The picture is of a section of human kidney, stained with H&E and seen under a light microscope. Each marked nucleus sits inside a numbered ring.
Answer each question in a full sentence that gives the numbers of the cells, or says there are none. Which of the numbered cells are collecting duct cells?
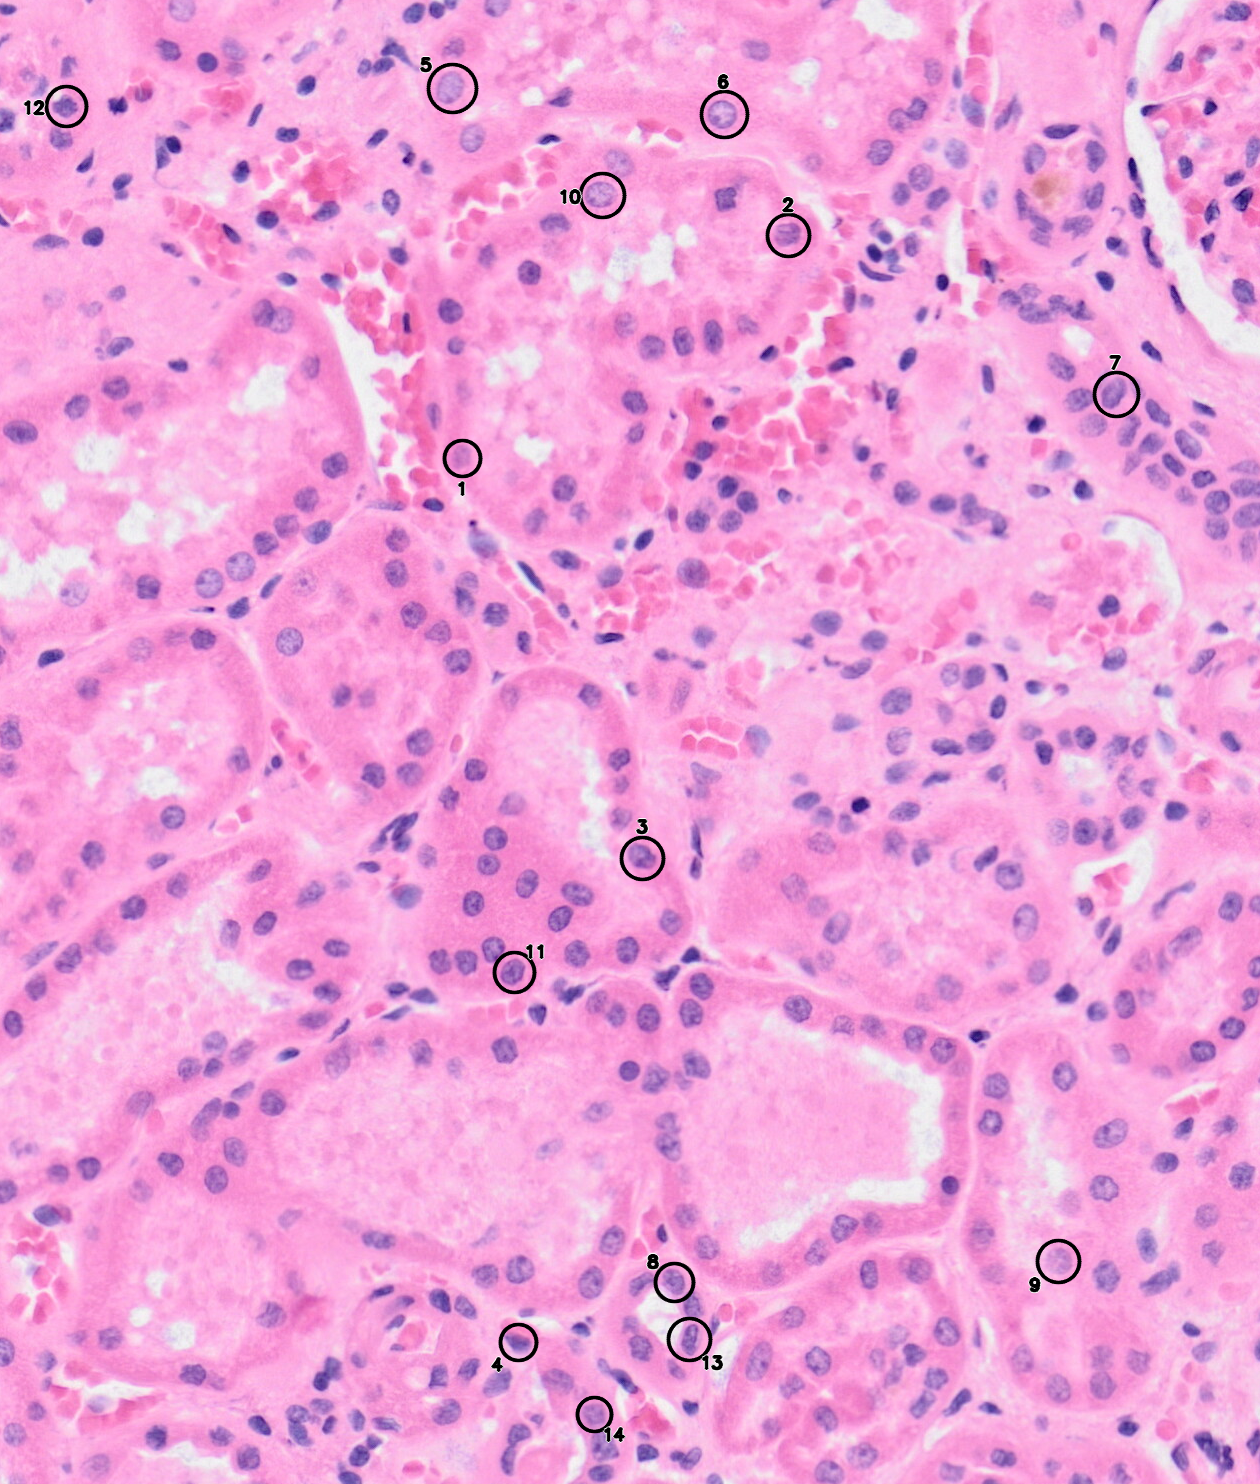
Within this tissue, the cells numbered 7, 8, 13 and 14 are collecting duct cells.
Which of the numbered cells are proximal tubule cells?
The cells carrying the numbers 1, 2, 3, 5, 6, 9, 10 and 11 are proximal tubule cells.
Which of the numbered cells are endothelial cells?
Among the marked cells, cell number 4 alone is an endothelial cell.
